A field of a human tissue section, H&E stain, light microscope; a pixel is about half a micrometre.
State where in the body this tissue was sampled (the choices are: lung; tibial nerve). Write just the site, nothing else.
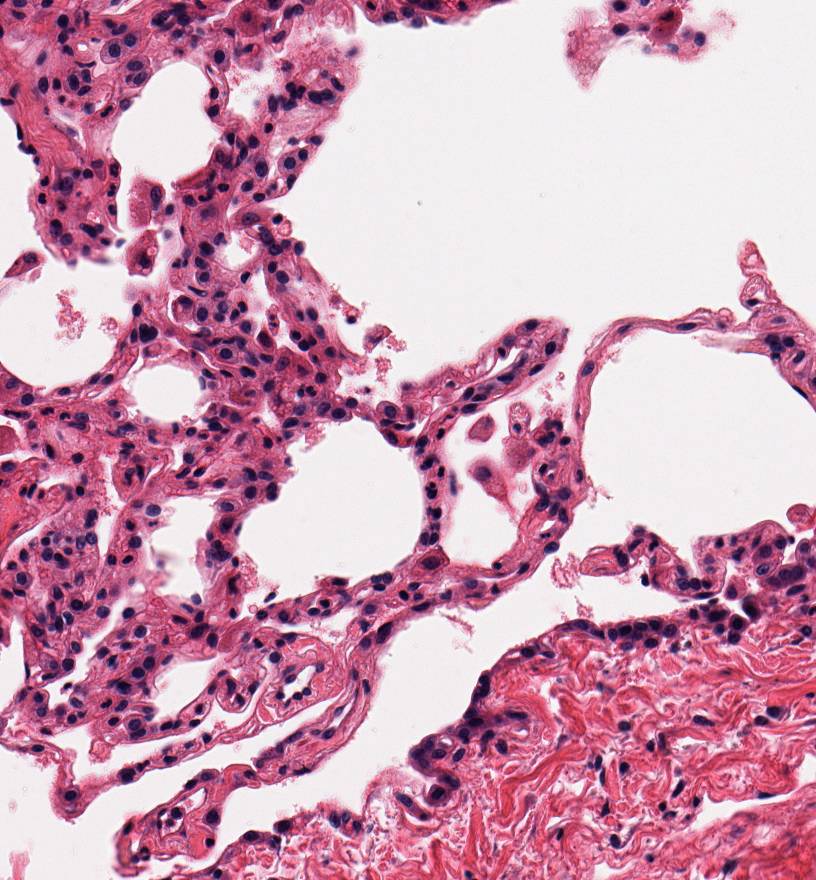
lung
